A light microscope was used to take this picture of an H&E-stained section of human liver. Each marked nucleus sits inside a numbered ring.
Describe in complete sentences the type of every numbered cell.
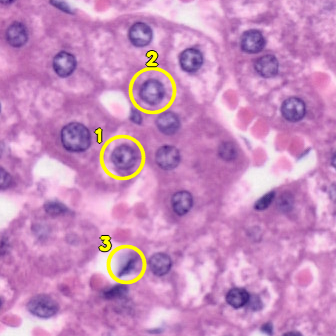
Cells 1 and 2 are hepatocytes. Cell 3 is an endothelial cell.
